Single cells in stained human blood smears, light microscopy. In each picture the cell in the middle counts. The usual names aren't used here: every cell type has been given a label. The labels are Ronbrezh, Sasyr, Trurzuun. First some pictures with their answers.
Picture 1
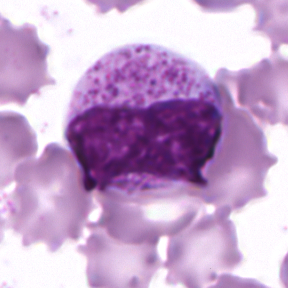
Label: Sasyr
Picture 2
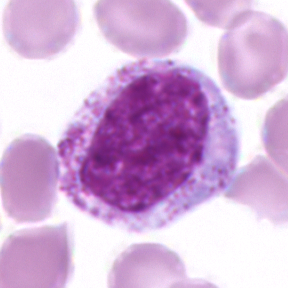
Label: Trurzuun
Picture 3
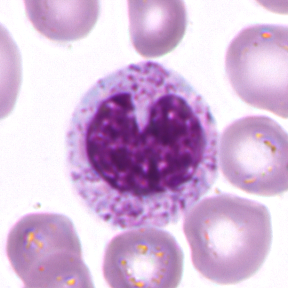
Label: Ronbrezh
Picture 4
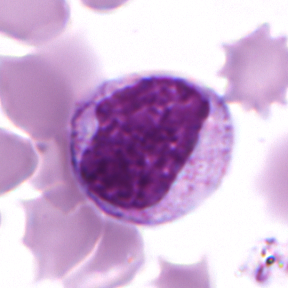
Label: Sasyr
